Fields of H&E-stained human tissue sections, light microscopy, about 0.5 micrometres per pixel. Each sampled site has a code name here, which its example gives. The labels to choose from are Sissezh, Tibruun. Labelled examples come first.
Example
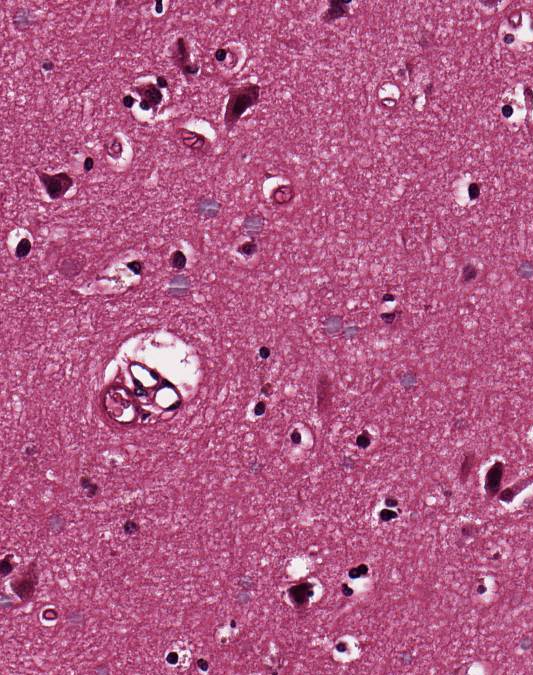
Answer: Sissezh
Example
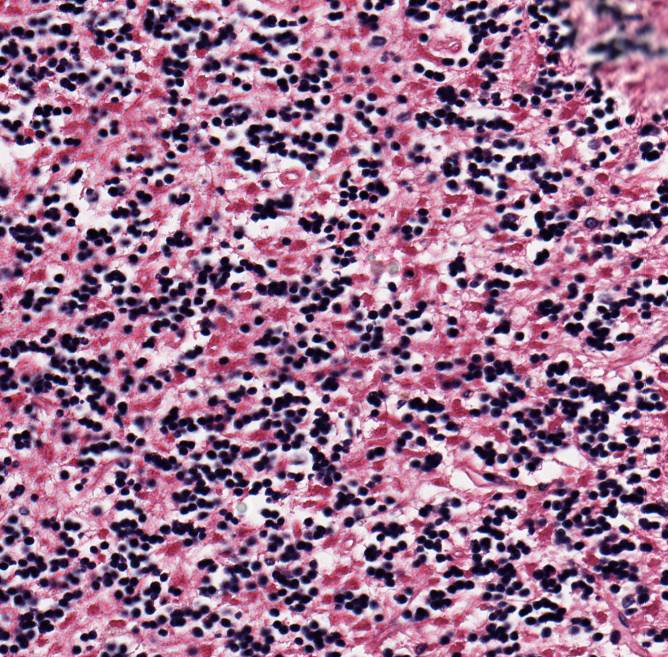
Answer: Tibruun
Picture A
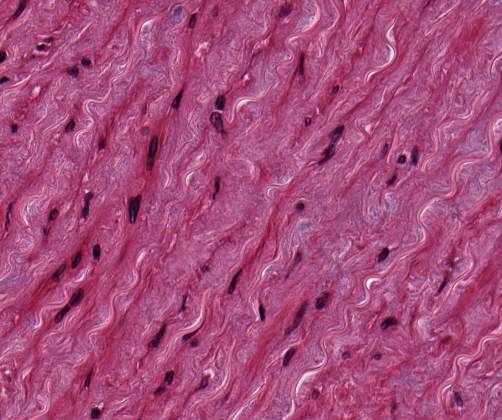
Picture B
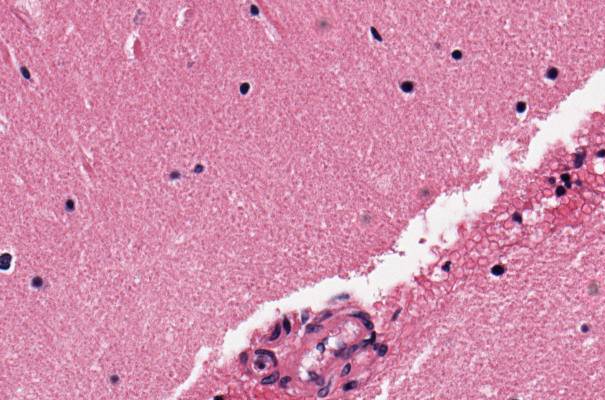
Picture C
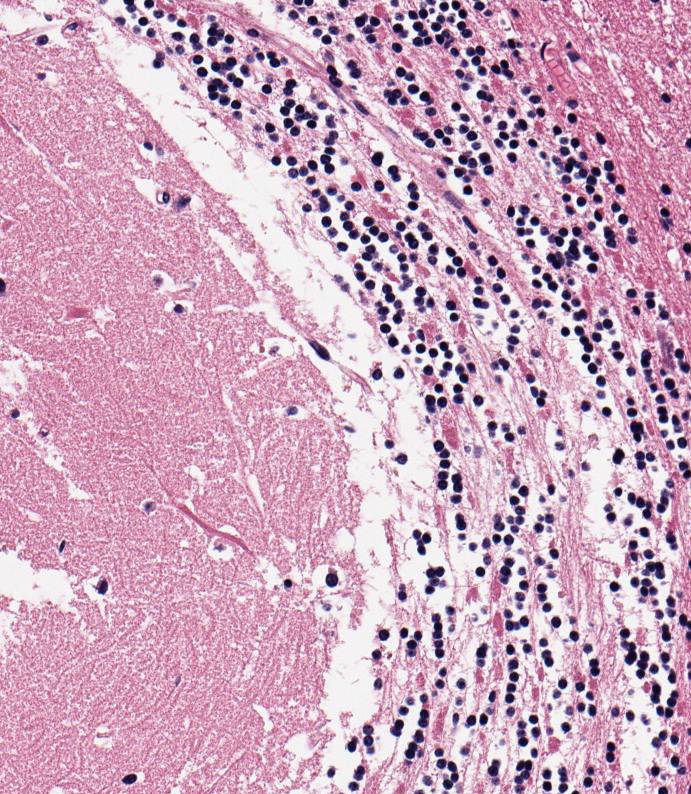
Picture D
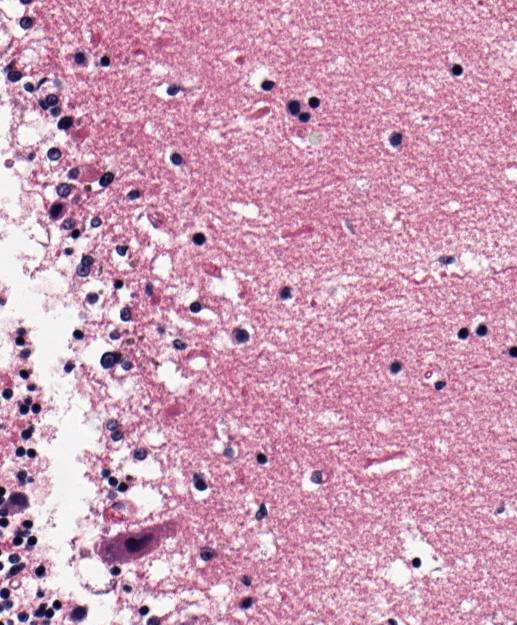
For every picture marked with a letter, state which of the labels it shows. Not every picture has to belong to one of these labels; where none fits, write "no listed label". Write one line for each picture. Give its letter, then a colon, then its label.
A: no listed label
B: Tibruun
C: Tibruun
D: Tibruun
